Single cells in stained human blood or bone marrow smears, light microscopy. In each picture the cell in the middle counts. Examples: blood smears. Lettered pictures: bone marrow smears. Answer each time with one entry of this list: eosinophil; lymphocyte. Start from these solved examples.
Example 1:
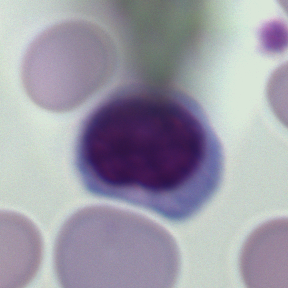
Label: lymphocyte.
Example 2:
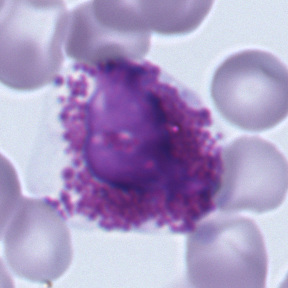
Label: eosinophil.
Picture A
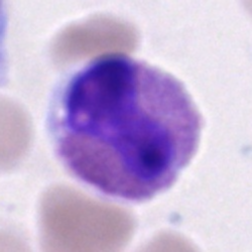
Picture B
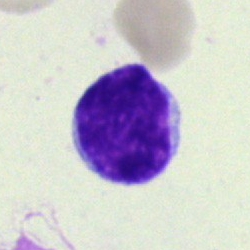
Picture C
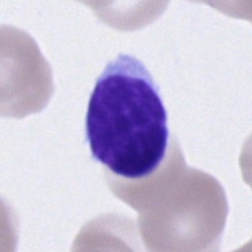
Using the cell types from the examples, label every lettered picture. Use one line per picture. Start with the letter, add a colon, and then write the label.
A: eosinophil.
B: lymphocyte.
C: lymphocyte.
